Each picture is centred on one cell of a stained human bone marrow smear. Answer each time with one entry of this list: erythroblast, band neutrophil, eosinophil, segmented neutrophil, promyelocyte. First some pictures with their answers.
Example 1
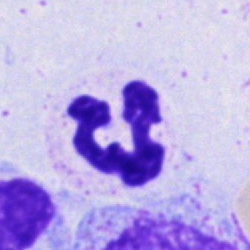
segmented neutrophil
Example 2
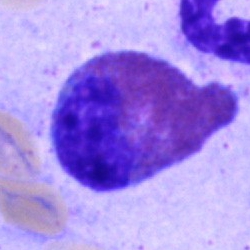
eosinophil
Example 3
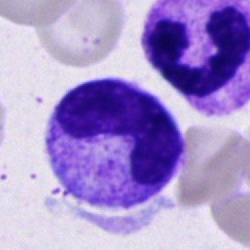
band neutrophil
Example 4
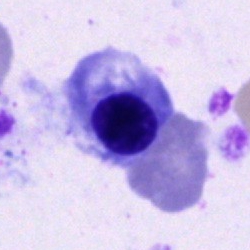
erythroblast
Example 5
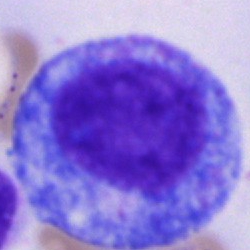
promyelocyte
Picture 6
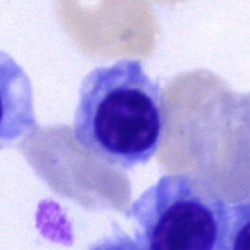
erythroblast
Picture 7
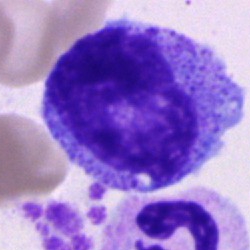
promyelocyte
